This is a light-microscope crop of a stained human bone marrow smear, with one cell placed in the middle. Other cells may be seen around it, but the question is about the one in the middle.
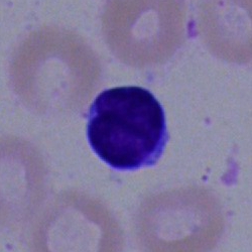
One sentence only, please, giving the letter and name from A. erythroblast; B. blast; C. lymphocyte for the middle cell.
In the middle of the crop is a lymphocyte; option C is therefore correct.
